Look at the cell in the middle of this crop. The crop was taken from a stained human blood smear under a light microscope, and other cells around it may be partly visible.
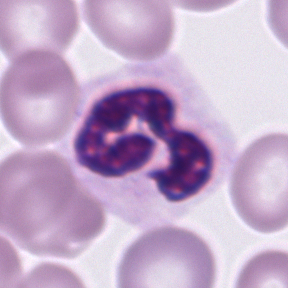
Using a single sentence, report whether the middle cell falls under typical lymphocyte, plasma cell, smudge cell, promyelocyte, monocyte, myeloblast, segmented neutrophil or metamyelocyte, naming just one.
This crop is built around a segmented neutrophil at its centre.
